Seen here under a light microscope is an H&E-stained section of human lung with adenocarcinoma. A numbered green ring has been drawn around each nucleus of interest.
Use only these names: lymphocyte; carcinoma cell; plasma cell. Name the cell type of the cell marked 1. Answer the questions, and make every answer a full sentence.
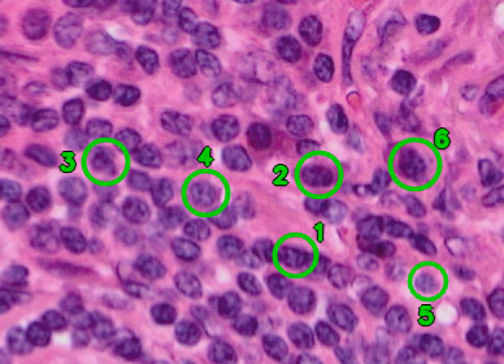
Cell 1 of the marked set is a lymphocyte.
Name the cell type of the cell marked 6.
The numbered cell 6 in this field is a plasma cell.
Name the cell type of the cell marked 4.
The one numbered 4 among the marked cells is a lymphocyte.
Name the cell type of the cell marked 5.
The cell that bears the number 5 is a lymphocyte.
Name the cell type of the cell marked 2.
Numbered cell 2 is a plasma cell in this tissue section.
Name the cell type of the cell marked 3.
The cell carrying label 3 is identified as a lymphocyte.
